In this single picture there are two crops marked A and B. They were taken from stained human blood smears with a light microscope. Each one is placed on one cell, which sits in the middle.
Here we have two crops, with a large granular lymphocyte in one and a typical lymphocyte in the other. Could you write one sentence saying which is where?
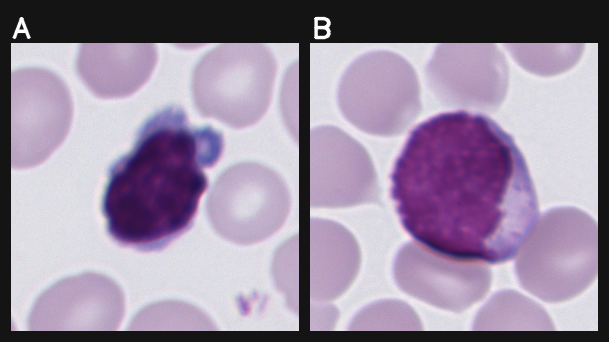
Crop A has been identified as a typical lymphocyte, and crop B has been identified as a large granular lymphocyte.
